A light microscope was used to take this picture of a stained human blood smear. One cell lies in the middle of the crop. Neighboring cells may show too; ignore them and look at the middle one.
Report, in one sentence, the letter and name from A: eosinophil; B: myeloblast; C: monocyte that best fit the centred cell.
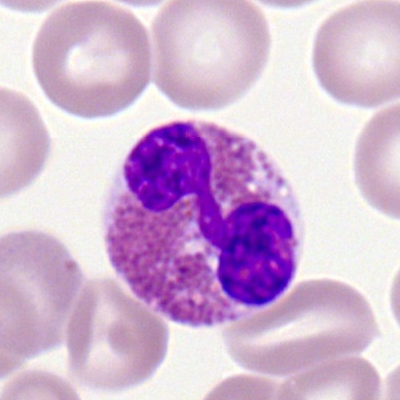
Since the cell in the middle is an eosinophil, option A is correct.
